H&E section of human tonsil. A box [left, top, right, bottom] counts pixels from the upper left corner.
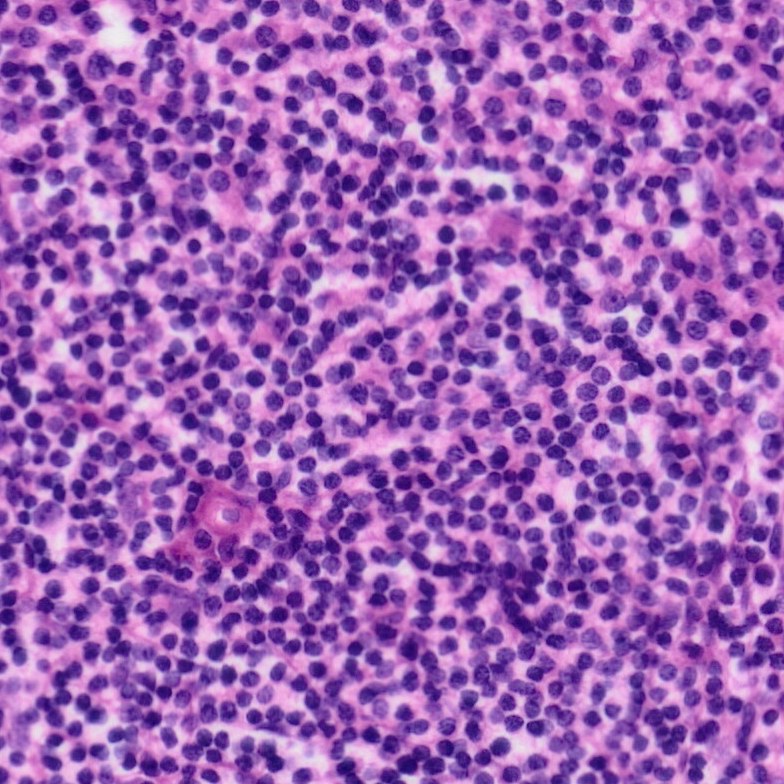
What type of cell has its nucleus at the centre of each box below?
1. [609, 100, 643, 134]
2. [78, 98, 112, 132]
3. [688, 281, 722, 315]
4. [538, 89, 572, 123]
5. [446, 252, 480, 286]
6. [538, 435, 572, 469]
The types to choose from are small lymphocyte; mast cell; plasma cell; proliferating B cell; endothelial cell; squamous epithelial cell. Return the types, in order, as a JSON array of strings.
["plasma cell", "small lymphocyte", "plasma cell", "plasma cell", "small lymphocyte", "small lymphocyte"]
